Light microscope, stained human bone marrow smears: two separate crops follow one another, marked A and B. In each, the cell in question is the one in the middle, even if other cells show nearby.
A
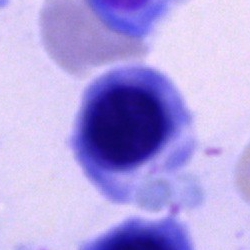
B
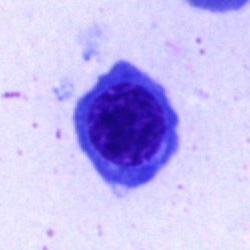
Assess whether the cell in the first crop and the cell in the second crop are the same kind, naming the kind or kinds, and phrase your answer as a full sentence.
Yes, the central cells, in both crops, are erythroblasts.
